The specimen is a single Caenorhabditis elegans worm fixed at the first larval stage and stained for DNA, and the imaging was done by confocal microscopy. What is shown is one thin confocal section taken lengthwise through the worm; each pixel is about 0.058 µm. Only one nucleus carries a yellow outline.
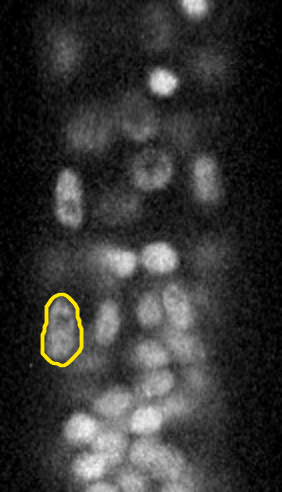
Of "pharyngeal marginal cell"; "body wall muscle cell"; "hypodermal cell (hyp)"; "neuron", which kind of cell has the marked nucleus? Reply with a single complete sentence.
The marked nucleus belongs to a body wall muscle cell.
